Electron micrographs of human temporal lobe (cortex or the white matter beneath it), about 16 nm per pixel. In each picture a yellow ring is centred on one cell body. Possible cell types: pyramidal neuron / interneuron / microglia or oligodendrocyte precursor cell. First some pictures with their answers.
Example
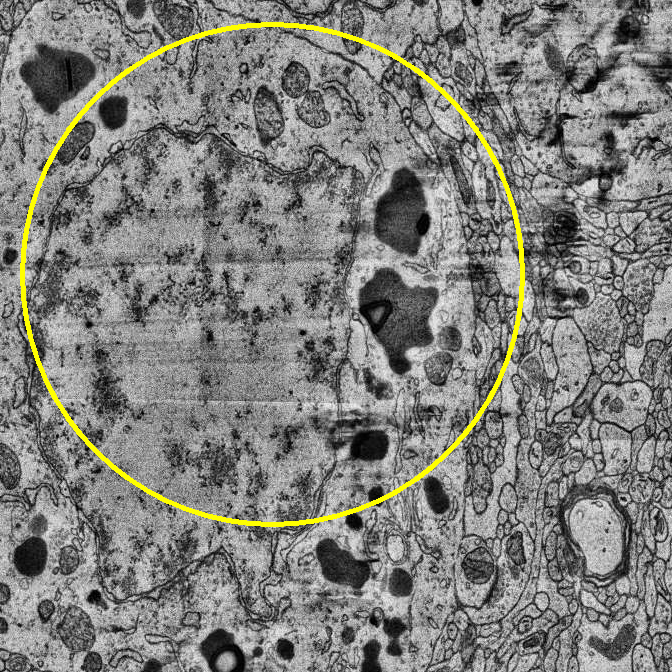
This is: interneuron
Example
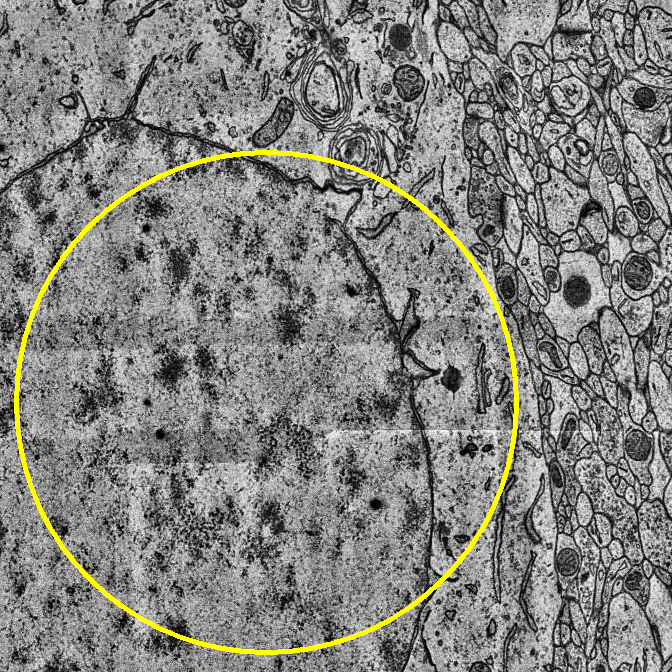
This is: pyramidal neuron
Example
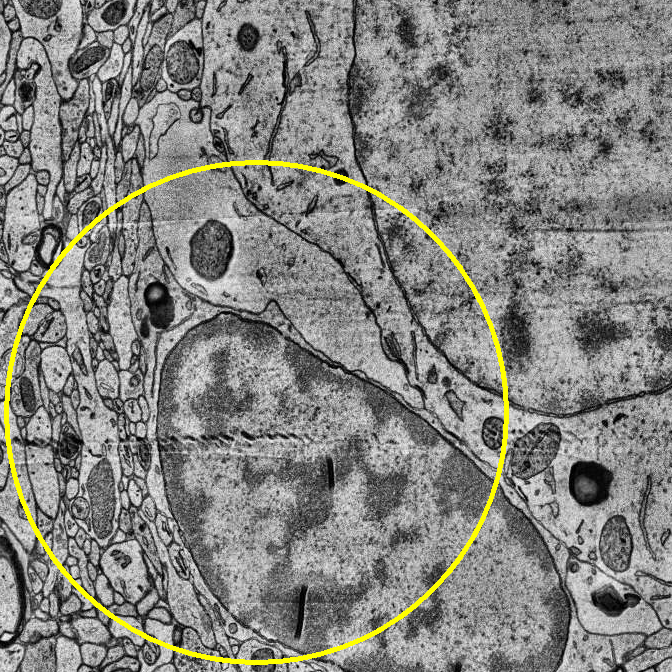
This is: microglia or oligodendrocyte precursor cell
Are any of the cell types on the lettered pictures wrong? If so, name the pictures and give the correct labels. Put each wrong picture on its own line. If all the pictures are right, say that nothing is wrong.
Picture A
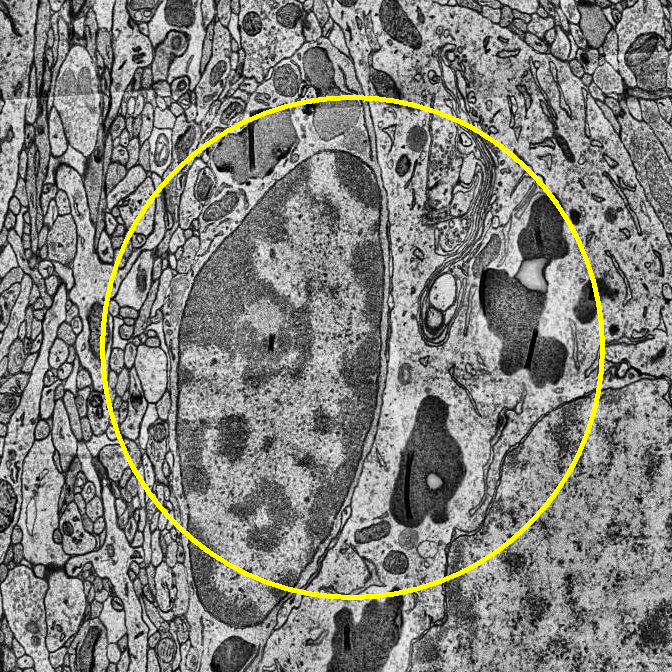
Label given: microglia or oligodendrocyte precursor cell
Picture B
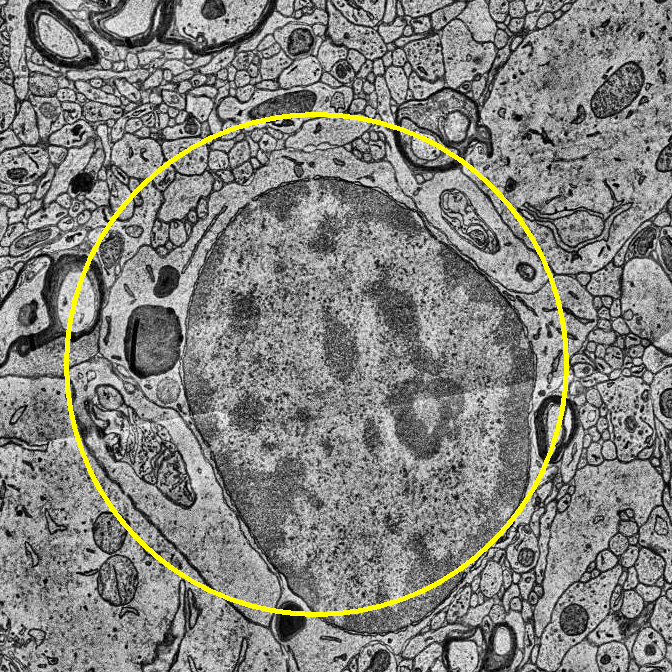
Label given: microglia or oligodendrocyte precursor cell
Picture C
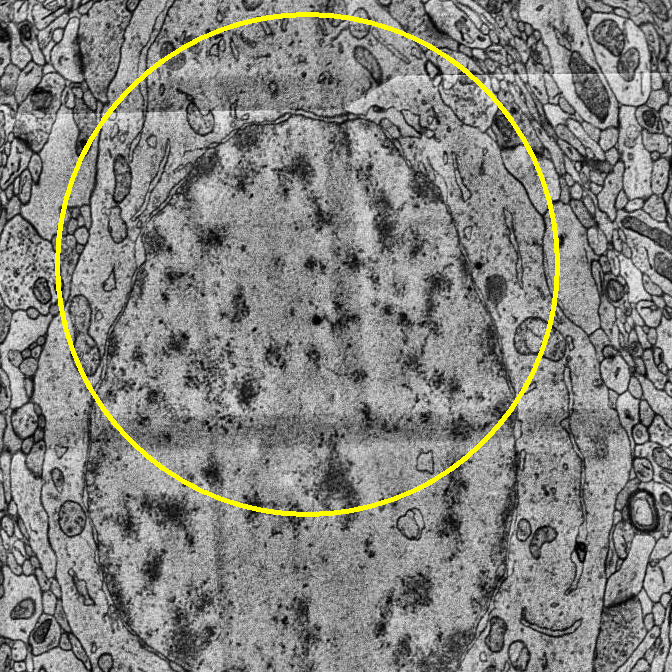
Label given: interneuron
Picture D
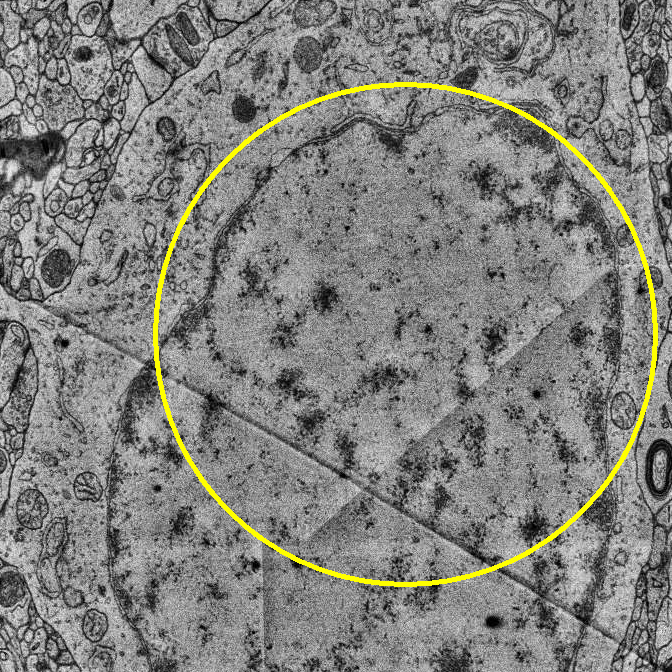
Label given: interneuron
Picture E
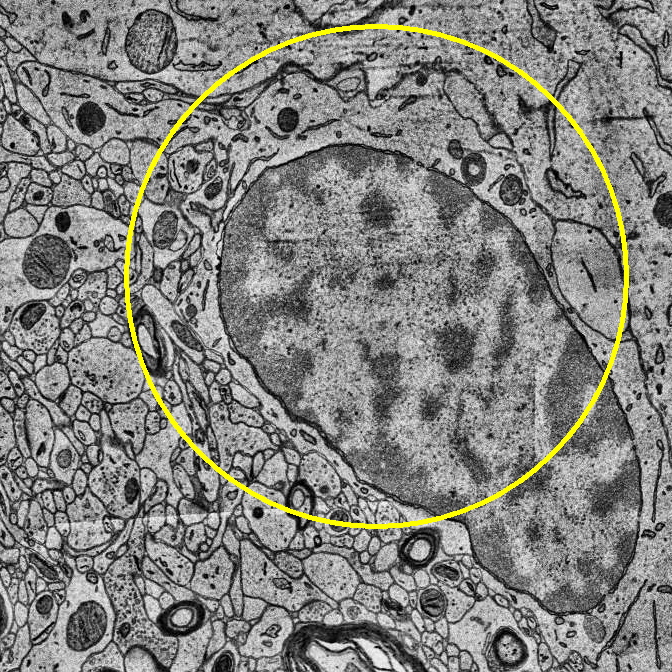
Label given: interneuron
E is labelled interneuron; correct label: microglia or oligodendrocyte precursor cell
